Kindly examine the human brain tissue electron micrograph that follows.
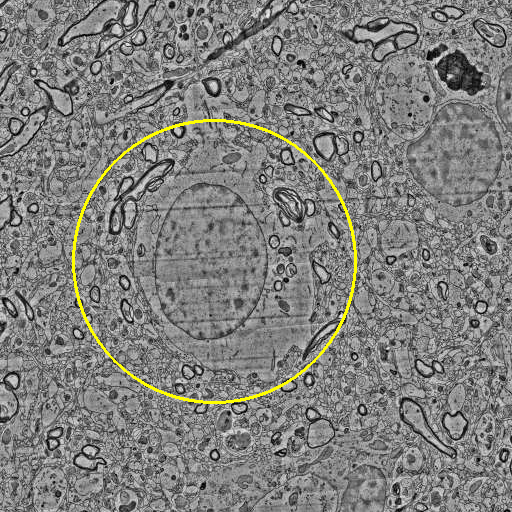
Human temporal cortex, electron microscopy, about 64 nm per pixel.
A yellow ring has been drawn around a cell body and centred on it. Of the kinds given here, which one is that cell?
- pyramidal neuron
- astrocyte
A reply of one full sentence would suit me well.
The micrograph's ringed cell, the one at the ring's centre, is an astrocyte.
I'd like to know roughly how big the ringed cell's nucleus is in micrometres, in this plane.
The nucleus works out at approximately 10 by 7 micrometres in this plane.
